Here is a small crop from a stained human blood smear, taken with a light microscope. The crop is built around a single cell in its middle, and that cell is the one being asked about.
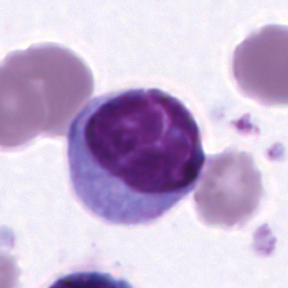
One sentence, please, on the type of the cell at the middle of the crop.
Positioned in the middle of the crop is a plasma cell.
